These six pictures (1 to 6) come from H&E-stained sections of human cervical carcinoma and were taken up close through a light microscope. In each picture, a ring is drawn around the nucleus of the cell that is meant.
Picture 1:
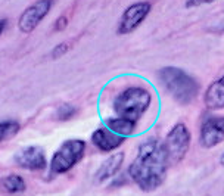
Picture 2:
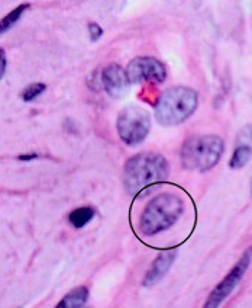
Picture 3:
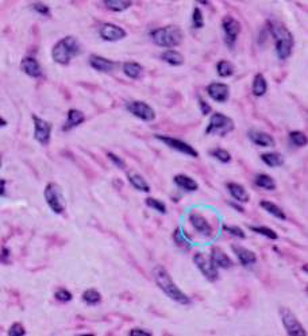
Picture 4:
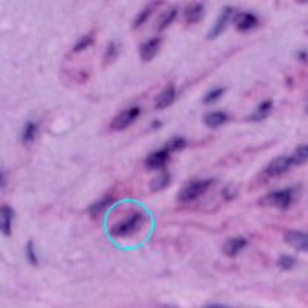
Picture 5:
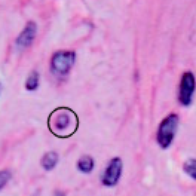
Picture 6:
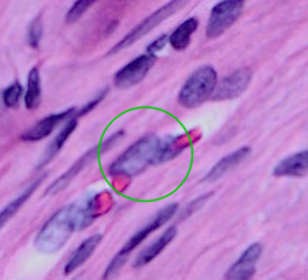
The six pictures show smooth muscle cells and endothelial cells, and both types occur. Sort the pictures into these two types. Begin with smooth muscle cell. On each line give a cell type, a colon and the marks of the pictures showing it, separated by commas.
smooth muscle cell: 3, 4, 5
endothelial cell: 1, 2, 6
